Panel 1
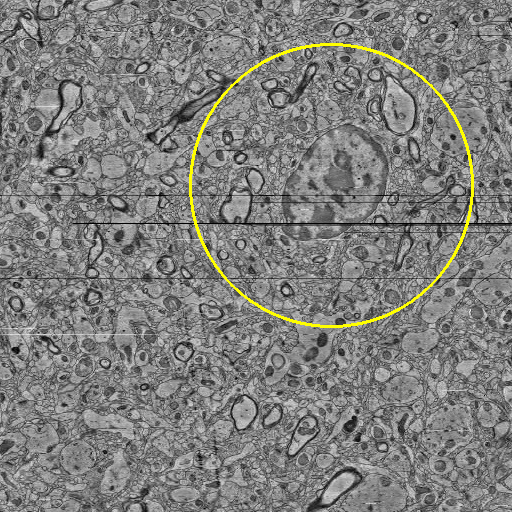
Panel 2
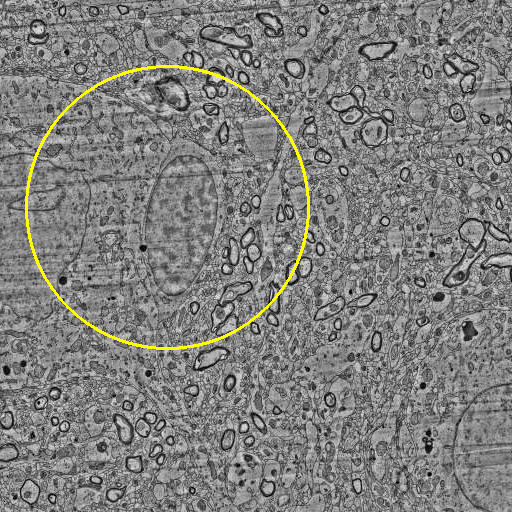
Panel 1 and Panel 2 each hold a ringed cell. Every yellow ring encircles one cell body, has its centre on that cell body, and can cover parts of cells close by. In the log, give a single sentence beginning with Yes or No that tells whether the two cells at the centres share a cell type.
No, in Panel 1 and Panel 2 the centred cells are of two cell types.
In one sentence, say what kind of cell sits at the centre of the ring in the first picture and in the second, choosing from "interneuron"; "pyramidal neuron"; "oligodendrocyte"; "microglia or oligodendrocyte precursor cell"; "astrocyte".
The first picture's ringed cell is a microglial cell or oligodendrocyte precursor cell, while the second picture's is an oligodendrocyte.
